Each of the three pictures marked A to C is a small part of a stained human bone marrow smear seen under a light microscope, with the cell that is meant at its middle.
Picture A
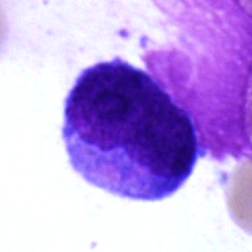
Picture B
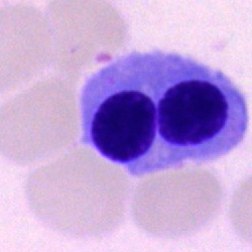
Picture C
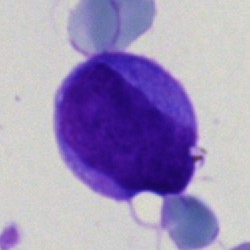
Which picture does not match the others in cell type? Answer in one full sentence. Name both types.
Unlike the rest, which show blasts, picture B shows an erythroblast.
